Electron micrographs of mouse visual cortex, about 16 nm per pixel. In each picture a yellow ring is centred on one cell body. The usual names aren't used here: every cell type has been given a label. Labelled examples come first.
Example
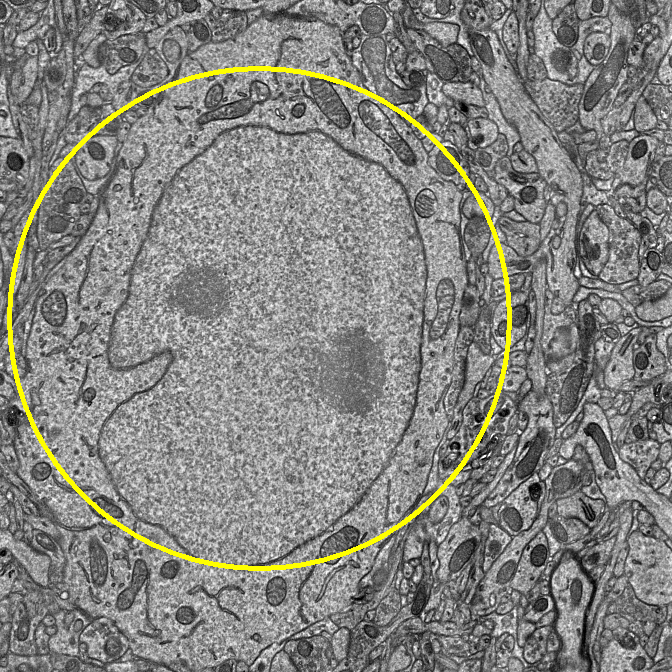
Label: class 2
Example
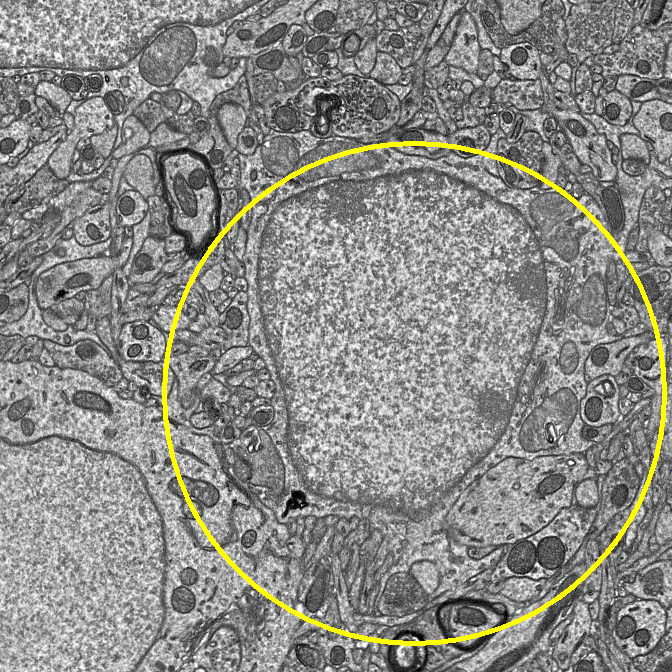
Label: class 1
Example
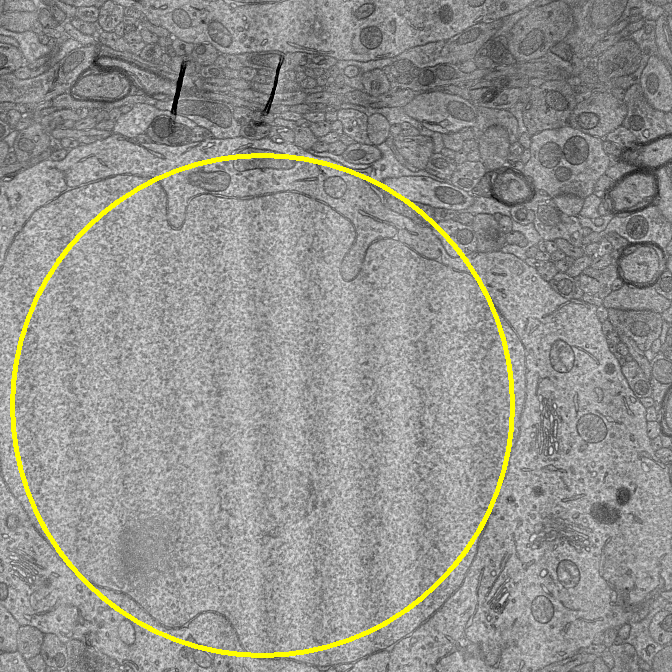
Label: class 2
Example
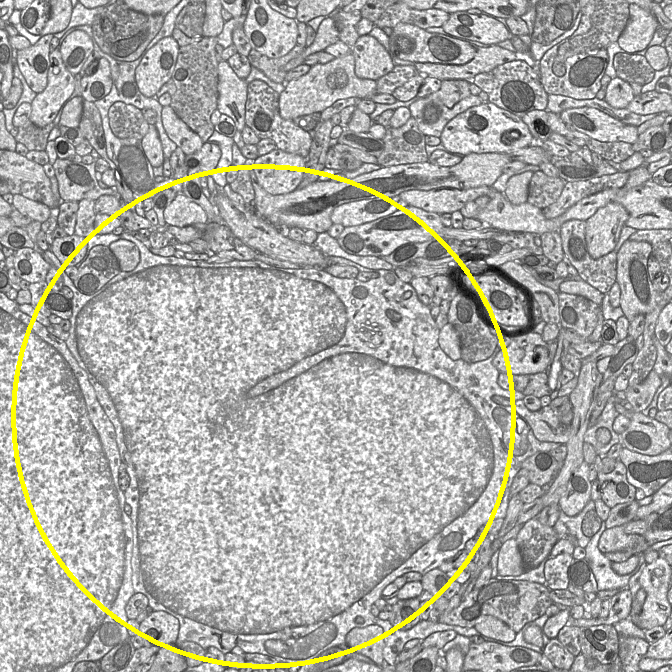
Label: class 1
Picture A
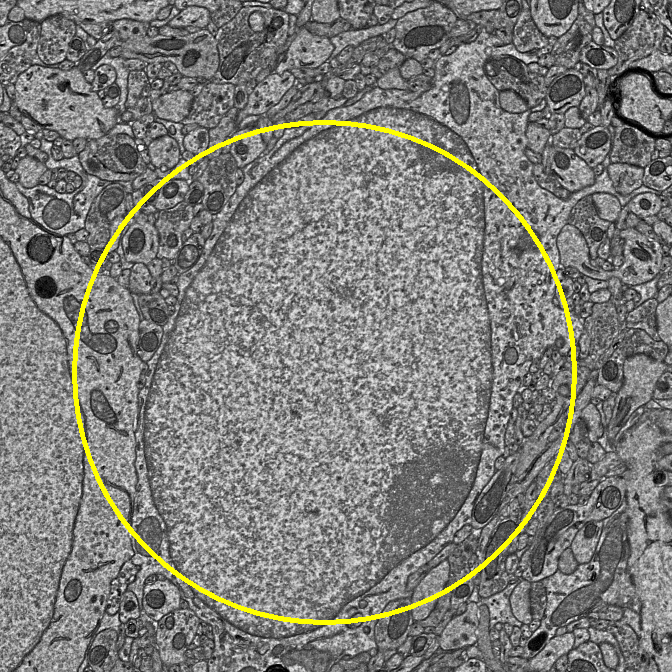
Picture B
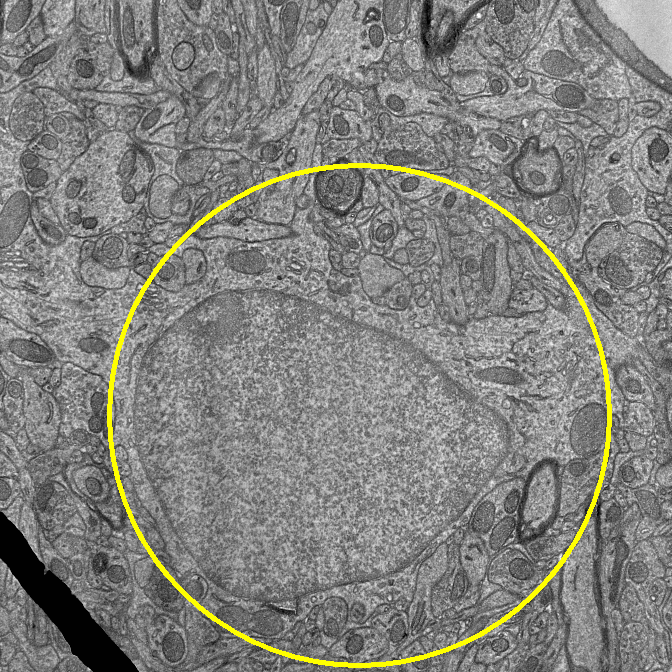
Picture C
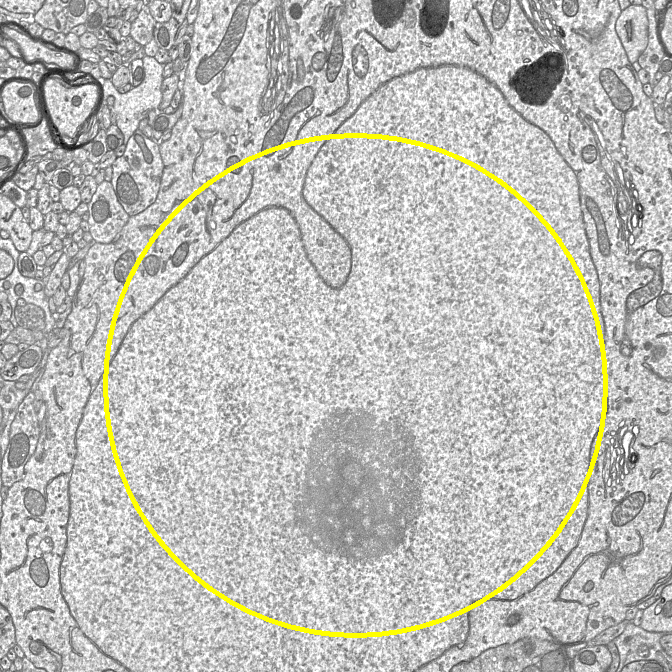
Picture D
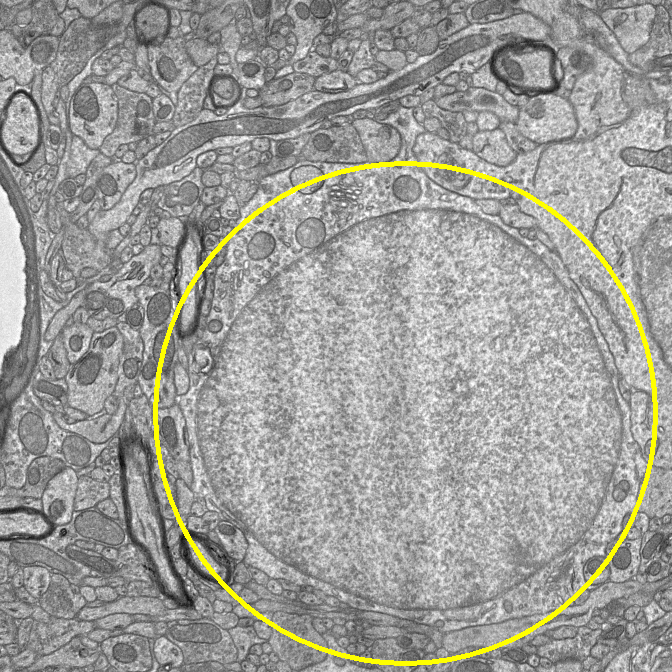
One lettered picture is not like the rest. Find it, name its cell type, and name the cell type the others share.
Picture C: class 2. All others: class 1.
